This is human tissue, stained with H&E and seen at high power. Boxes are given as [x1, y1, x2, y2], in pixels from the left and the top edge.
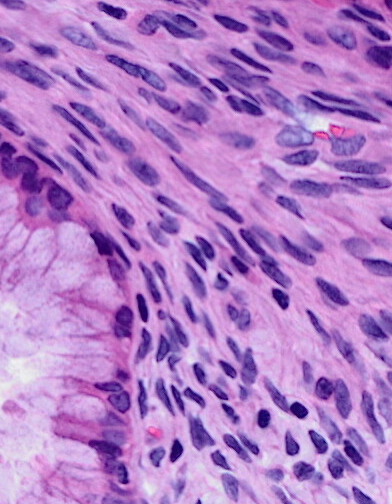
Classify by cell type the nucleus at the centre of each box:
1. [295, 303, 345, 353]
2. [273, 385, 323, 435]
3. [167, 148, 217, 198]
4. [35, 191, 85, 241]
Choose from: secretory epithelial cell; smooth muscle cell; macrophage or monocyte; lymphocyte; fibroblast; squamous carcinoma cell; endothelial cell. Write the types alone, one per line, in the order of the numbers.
fibroblast
lymphocyte
fibroblast
secretory epithelial cell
